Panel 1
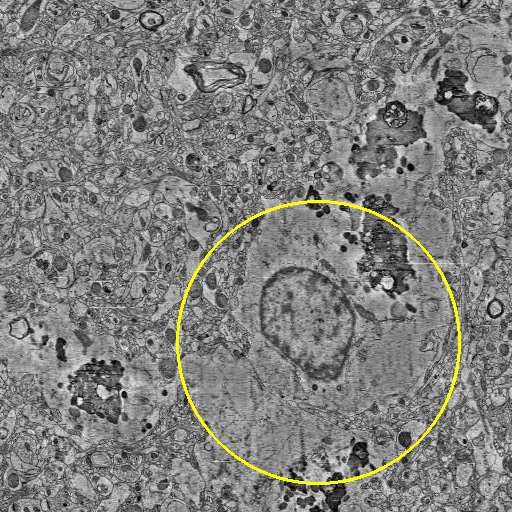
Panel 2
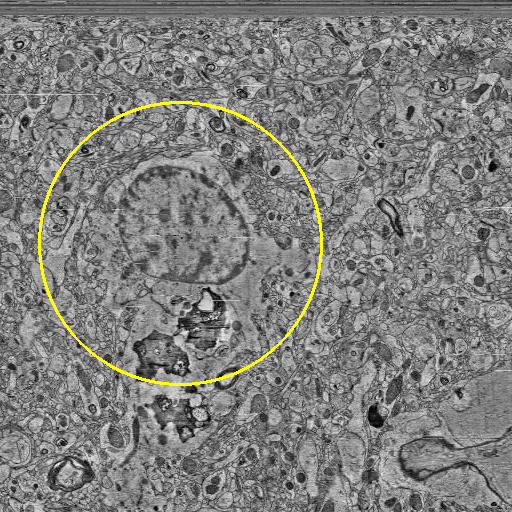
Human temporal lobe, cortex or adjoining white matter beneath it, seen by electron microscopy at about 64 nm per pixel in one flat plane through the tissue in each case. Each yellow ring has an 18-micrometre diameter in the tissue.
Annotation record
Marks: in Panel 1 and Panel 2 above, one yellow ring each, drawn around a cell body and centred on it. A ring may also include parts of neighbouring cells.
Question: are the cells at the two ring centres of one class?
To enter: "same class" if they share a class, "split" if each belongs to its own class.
same class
